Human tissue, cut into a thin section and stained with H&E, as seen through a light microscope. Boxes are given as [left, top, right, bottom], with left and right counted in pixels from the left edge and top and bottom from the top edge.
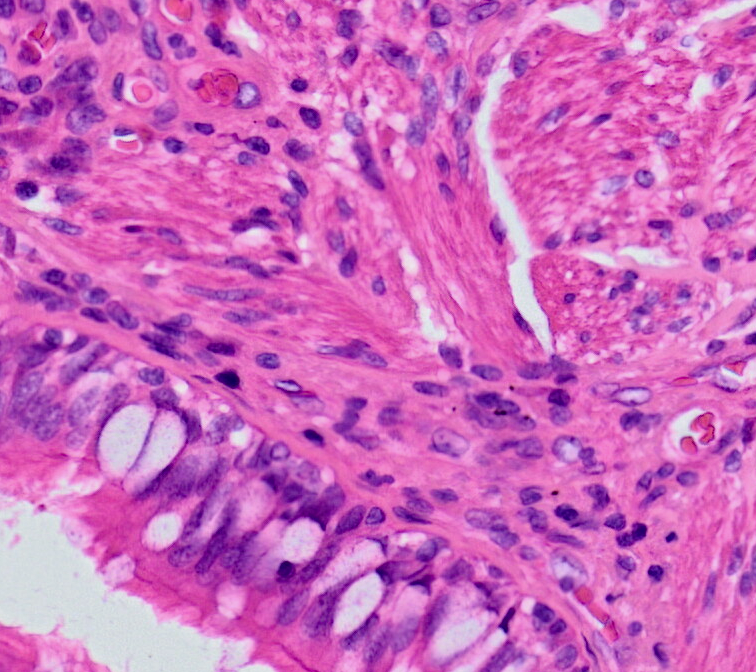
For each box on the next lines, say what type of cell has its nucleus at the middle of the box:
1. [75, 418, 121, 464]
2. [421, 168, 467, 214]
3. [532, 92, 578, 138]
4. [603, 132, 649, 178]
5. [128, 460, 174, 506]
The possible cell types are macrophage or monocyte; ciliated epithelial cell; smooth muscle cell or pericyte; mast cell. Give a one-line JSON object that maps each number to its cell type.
{"1": "ciliated epithelial cell", "2": "smooth muscle cell or pericyte", "3": "smooth muscle cell or pericyte", "4": "smooth muscle cell or pericyte", "5": "ciliated epithelial cell"}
